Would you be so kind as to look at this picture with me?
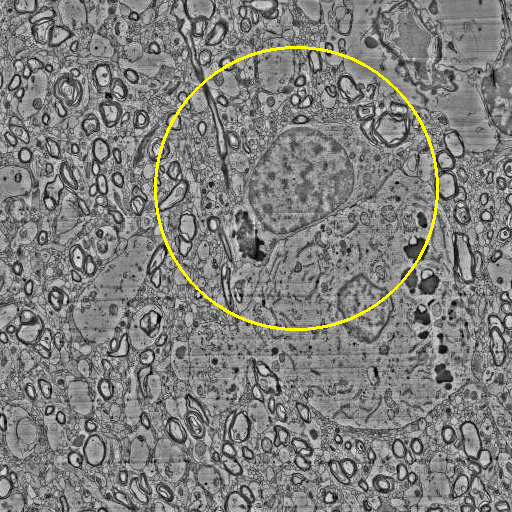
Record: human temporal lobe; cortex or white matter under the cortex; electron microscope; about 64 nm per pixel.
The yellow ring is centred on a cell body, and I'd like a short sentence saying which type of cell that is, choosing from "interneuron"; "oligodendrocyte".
The cell body in the ring belongs to an oligodendrocyte.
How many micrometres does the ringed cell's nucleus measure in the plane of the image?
In this plane, approximately 7 by 6 micrometers.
